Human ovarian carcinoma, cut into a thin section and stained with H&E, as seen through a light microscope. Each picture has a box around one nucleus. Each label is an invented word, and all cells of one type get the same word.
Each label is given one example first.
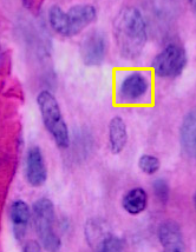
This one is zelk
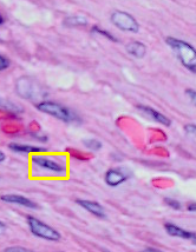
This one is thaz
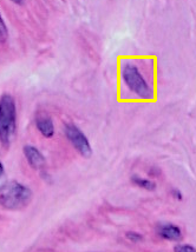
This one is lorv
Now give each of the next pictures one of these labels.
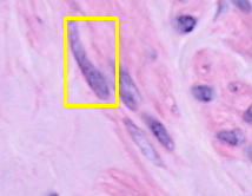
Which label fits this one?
lorv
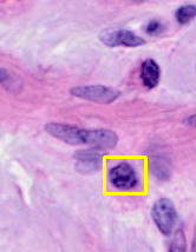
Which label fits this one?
zelk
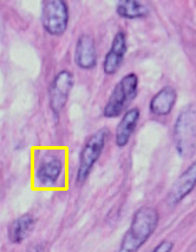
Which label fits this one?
thaz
